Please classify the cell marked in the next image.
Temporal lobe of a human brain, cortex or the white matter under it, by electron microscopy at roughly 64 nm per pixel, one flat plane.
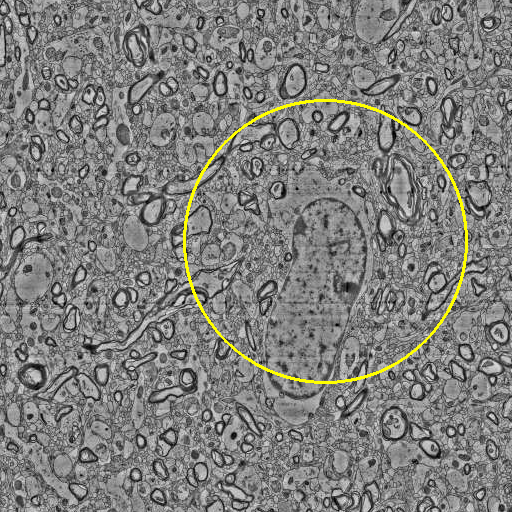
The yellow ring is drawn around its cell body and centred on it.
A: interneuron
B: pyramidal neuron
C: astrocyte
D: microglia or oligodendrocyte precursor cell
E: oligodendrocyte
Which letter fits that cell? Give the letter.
D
